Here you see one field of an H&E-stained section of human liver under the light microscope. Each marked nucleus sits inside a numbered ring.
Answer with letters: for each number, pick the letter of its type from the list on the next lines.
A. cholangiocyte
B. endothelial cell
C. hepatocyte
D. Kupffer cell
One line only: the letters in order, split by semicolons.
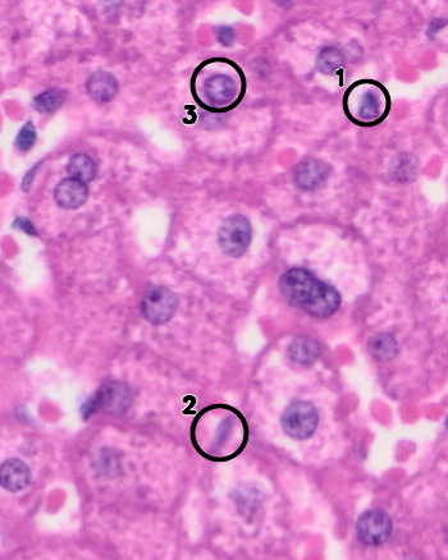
D; D; C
